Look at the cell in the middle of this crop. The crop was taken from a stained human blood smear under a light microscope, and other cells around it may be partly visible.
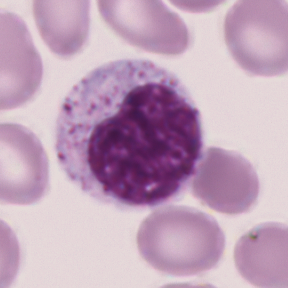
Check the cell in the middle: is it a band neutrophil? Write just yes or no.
no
